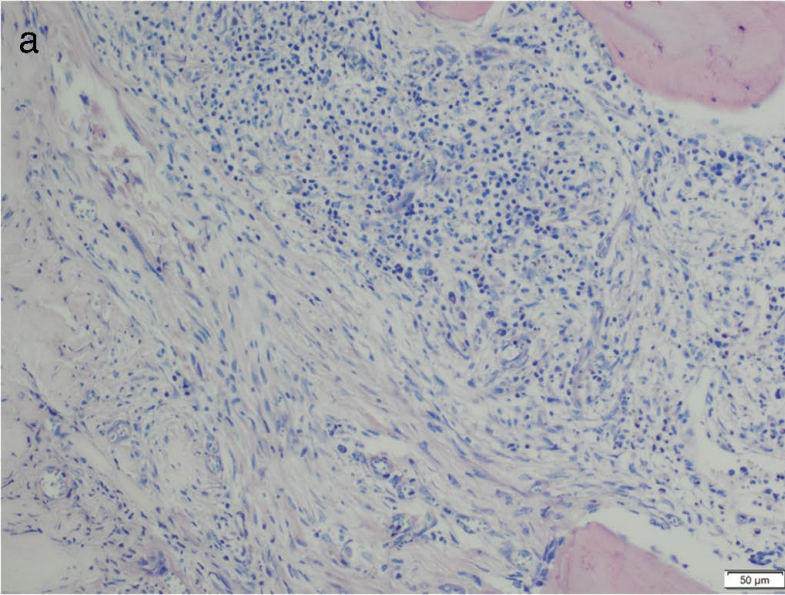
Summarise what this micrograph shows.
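A section of bone marrow shows a compact infiltrate between pink bone trabeculae. It is made up largely of elongated spindle-shaped cells with oval to elongated blue nuclei, arranged in streaming fascicles in a pale fibrous background. Toward the upper part, rounder cells with small dark nuclei are more densely packed.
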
